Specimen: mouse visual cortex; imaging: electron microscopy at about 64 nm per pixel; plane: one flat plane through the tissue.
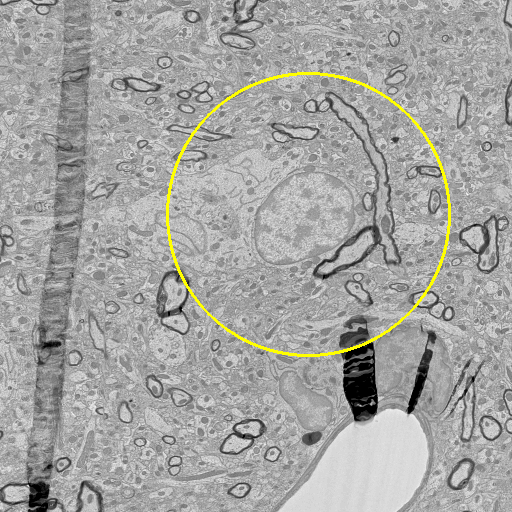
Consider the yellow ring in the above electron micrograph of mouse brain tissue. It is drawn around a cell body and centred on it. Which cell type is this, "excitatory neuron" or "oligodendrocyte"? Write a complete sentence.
The cell in question is an oligodendrocyte.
